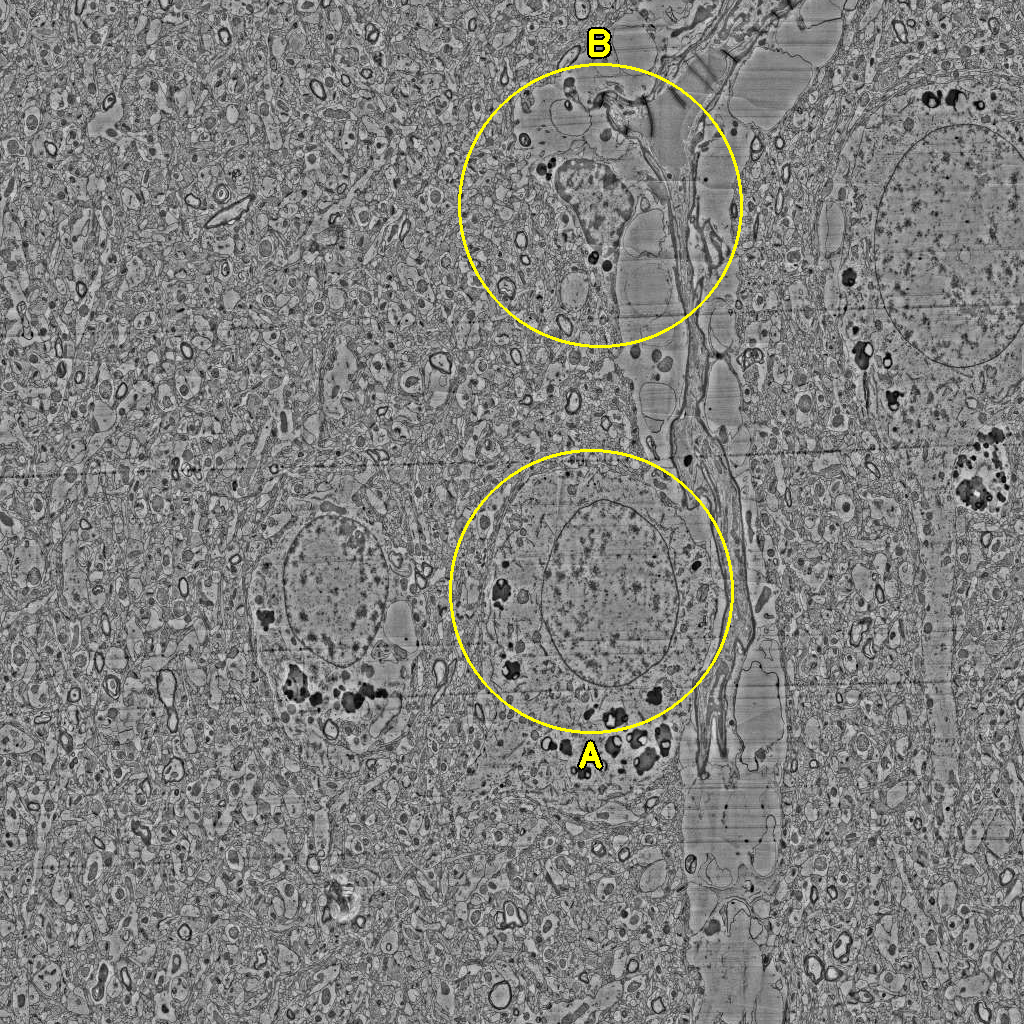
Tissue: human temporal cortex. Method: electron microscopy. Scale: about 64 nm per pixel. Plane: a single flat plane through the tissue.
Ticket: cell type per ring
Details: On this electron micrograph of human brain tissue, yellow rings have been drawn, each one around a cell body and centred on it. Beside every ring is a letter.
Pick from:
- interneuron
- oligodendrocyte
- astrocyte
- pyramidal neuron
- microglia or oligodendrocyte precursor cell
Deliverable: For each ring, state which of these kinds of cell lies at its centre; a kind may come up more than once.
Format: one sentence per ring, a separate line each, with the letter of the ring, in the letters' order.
The cell body ringed as A belongs to a pyramidal neuron.
The cell body ringed as B belongs to a microglial cell or oligodendrocyte precursor cell.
